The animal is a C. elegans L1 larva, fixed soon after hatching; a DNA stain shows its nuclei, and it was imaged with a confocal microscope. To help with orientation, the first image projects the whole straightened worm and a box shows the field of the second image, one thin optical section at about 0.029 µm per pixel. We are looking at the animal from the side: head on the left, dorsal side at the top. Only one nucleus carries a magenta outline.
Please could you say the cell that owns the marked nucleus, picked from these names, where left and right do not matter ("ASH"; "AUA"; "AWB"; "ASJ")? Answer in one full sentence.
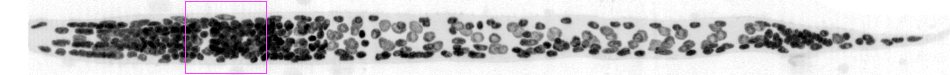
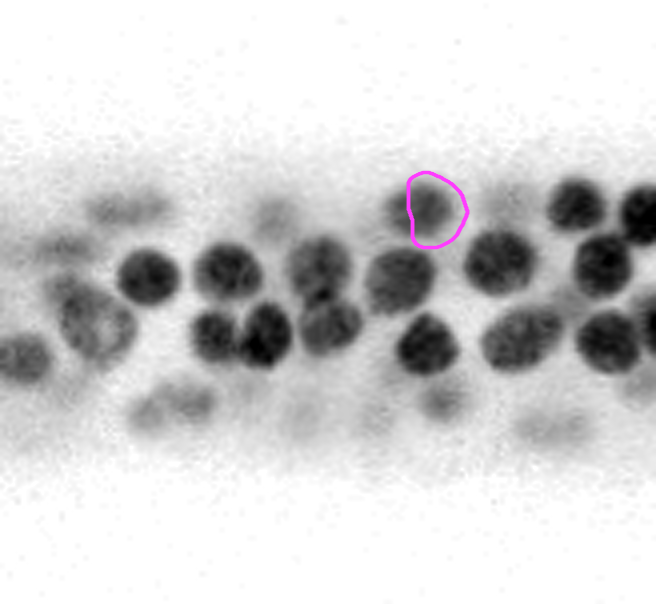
The marked nucleus is that of AWB, a neuron.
